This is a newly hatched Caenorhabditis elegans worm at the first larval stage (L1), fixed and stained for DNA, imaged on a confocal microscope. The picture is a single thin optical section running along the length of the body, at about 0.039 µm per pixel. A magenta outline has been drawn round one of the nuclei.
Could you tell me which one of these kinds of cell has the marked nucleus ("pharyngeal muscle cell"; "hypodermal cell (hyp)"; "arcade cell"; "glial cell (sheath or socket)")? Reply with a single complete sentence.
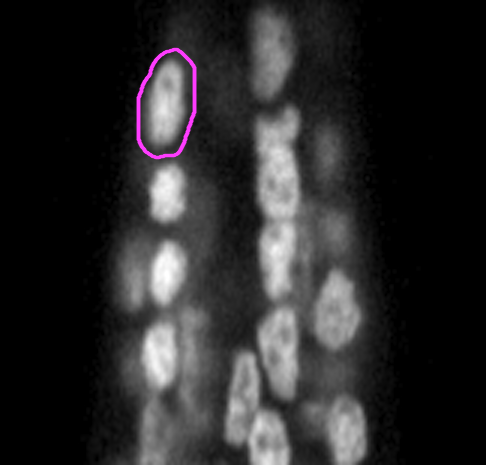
It belongs to a hypodermal cell (hyp).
